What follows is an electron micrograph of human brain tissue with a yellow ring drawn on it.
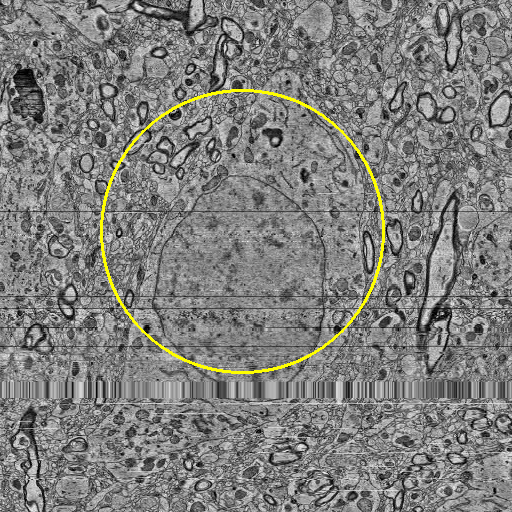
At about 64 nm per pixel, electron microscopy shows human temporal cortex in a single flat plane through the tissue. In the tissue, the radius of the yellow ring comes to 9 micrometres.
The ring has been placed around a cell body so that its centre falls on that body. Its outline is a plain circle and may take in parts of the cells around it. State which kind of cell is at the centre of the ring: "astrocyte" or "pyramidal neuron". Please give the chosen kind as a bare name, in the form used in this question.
pyramidal neuron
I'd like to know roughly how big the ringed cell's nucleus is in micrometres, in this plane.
Roughly 15 micrometres by 11 micrometres, in this plane.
